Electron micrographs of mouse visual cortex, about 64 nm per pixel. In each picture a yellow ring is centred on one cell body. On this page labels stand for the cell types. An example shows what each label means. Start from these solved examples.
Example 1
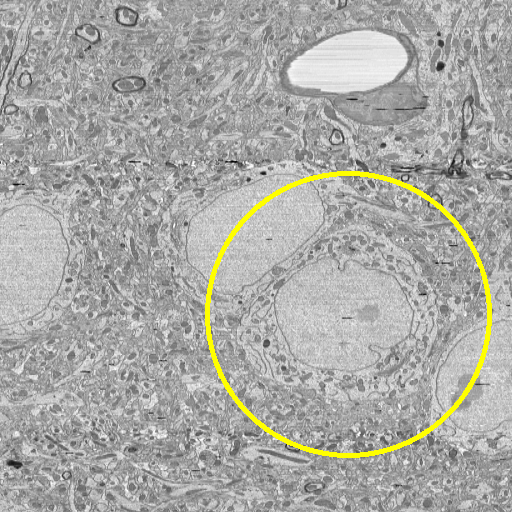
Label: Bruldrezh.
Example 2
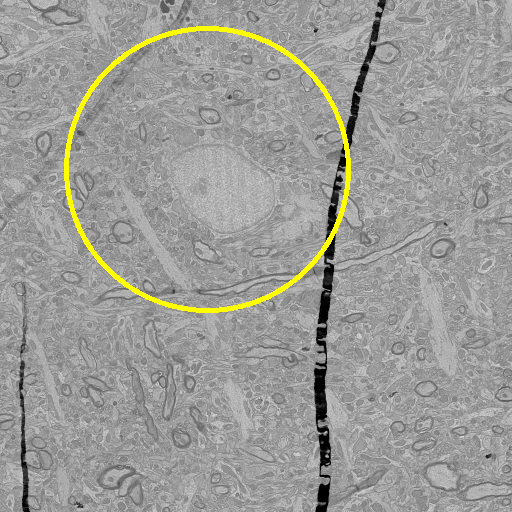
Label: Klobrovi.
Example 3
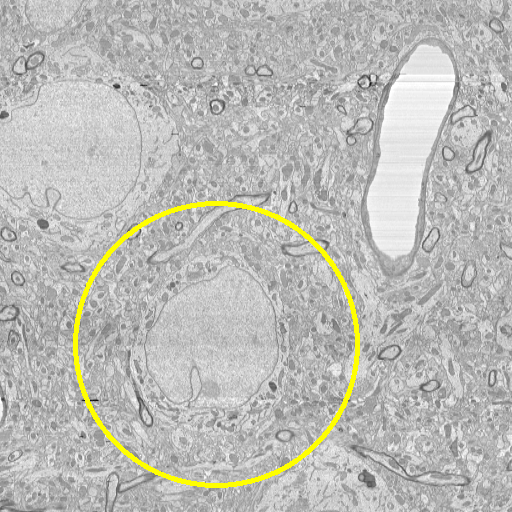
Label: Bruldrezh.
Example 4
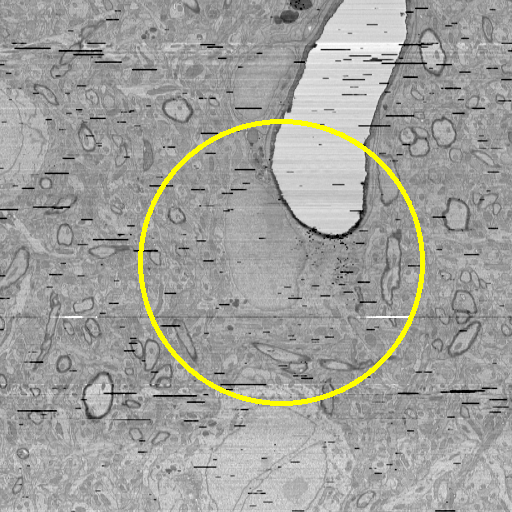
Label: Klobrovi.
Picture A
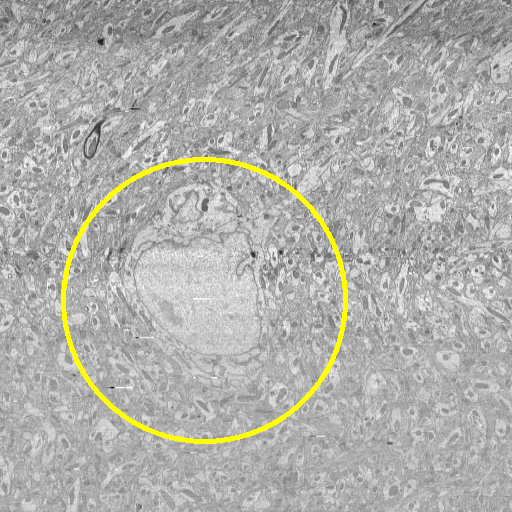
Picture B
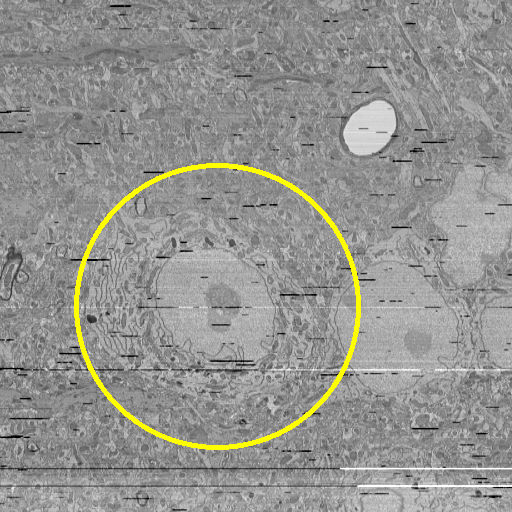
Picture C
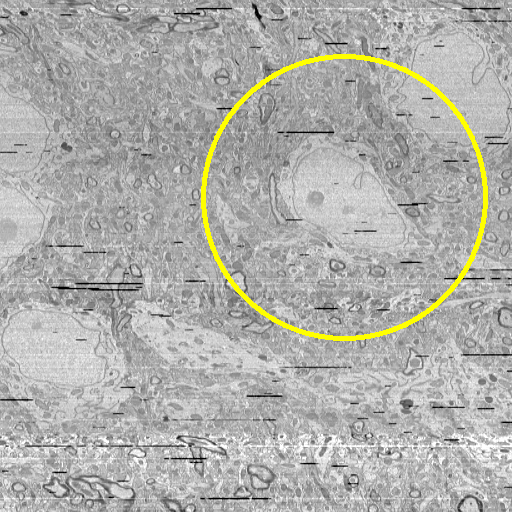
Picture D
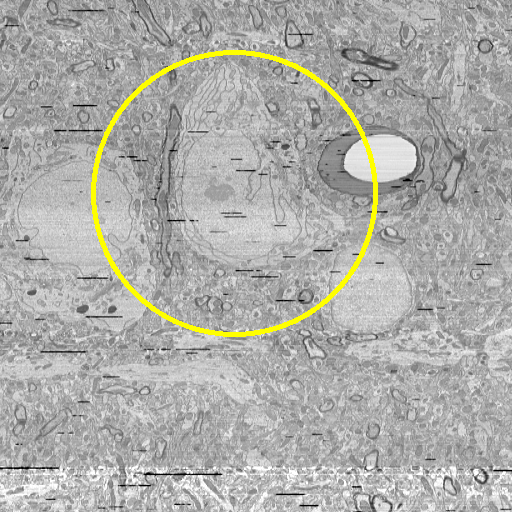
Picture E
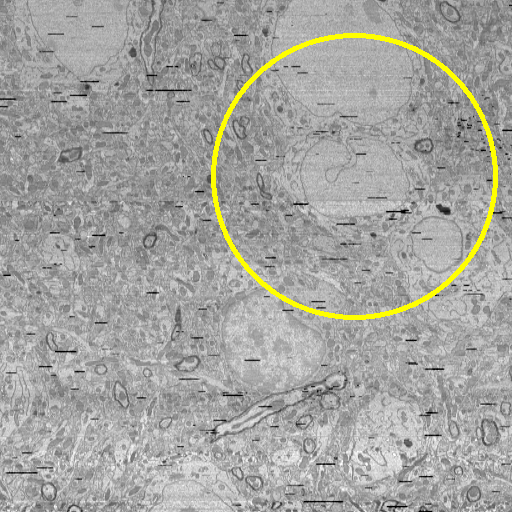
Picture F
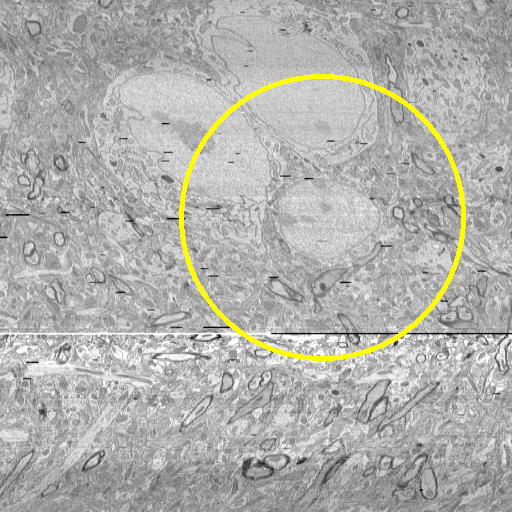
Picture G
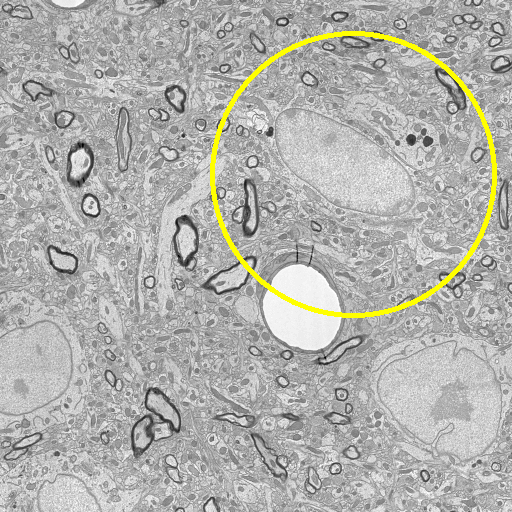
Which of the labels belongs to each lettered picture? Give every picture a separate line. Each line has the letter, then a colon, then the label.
A: Bruldrezh.
B: Bruldrezh.
C: Bruldrezh.
D: Bruldrezh.
E: Bruldrezh.
F: Klobrovi.
G: Klobrovi.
